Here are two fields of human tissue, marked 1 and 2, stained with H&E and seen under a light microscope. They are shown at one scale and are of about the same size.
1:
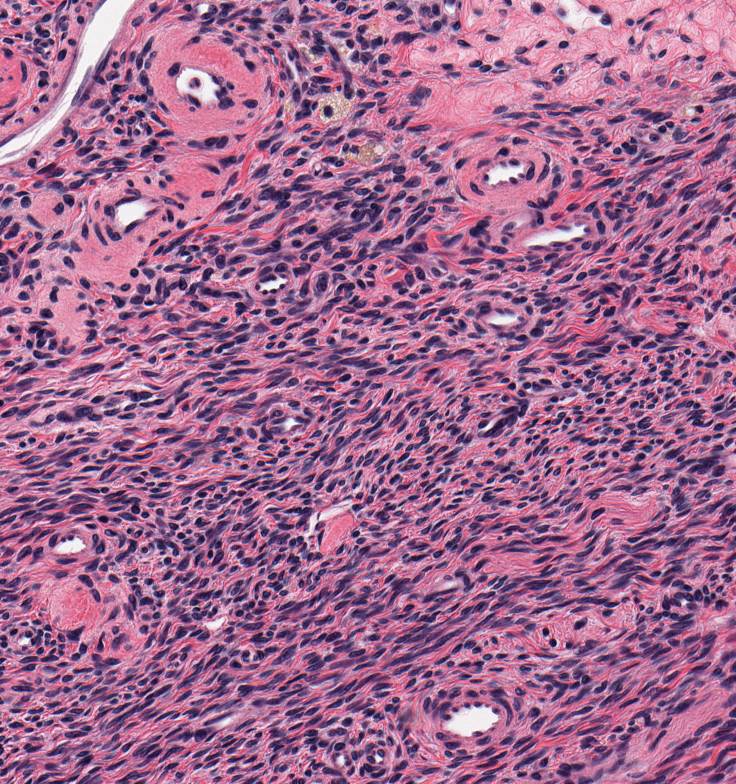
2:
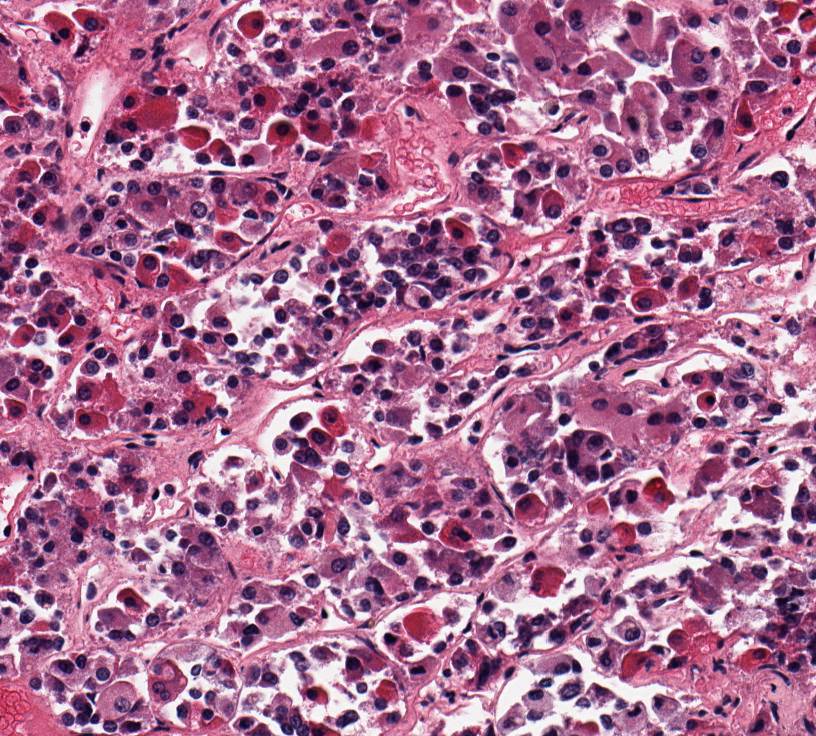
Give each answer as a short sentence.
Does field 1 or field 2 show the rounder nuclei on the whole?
Rounder nuclei lie in field 2.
